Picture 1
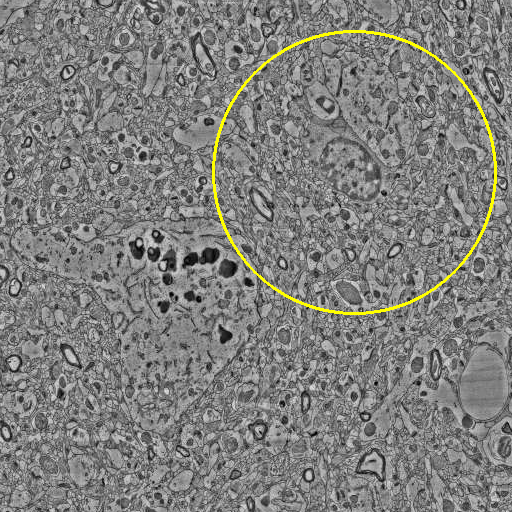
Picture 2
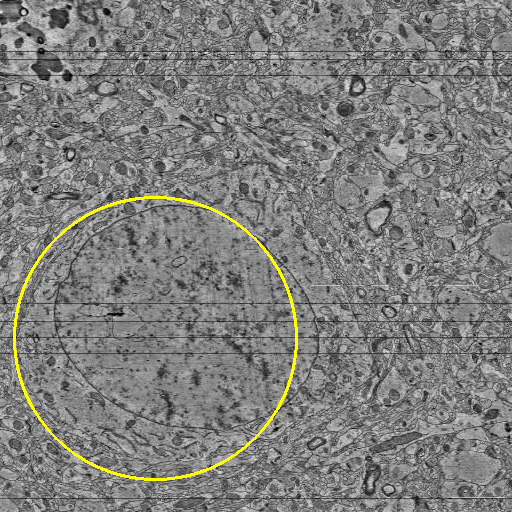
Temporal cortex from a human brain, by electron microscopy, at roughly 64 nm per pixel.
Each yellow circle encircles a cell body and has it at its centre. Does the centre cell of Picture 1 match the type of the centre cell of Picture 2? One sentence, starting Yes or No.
No, the cell centred in Picture 1 and the one in Picture 2 have separate types.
